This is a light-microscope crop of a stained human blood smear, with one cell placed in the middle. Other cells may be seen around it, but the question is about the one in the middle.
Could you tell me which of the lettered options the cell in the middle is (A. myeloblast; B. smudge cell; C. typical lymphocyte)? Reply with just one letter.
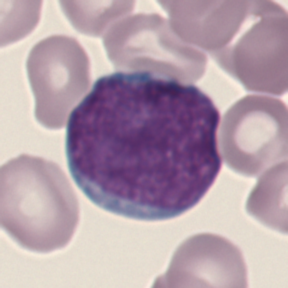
A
